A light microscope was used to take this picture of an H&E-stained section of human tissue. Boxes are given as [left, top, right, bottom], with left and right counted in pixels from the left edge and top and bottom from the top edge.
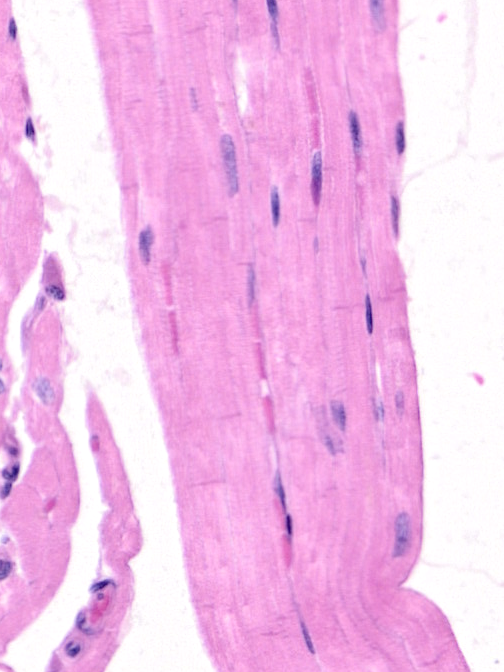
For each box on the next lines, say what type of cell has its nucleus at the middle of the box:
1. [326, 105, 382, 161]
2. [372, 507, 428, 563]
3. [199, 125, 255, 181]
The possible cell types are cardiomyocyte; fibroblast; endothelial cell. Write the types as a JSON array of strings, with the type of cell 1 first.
["endothelial cell", "cardiomyocyte", "cardiomyocyte"]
